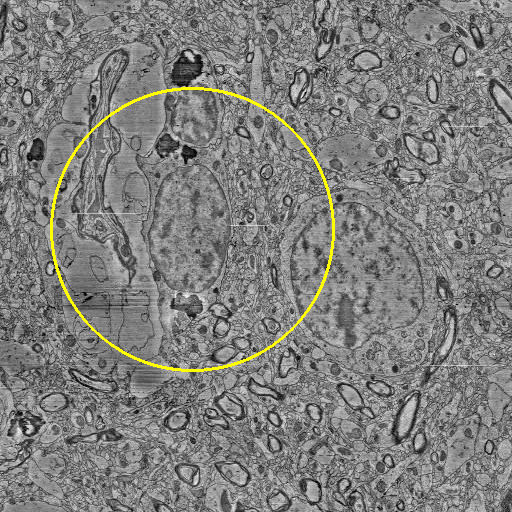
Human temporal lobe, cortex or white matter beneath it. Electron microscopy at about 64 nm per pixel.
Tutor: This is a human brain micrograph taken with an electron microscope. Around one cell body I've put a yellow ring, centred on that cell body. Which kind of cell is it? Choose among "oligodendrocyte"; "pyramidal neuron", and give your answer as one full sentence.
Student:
Going by your list, the cell centred in the yellow ring is an oligodendrocyte.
